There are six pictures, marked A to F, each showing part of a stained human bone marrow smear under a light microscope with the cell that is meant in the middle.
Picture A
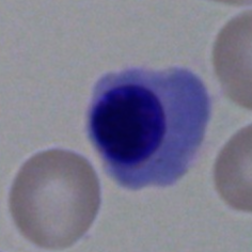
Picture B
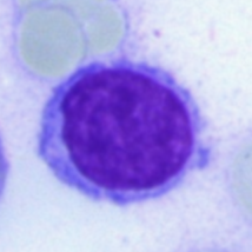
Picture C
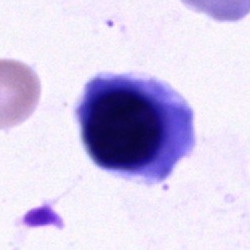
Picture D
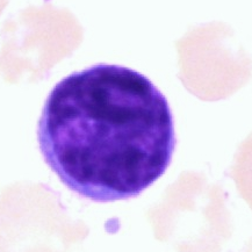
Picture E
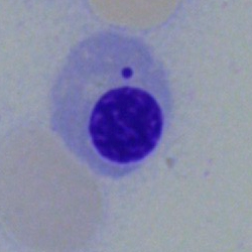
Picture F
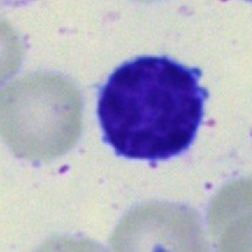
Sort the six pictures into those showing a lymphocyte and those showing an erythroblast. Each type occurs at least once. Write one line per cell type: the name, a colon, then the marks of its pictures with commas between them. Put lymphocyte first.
lymphocyte: B, D, F
erythroblast: A, C, E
